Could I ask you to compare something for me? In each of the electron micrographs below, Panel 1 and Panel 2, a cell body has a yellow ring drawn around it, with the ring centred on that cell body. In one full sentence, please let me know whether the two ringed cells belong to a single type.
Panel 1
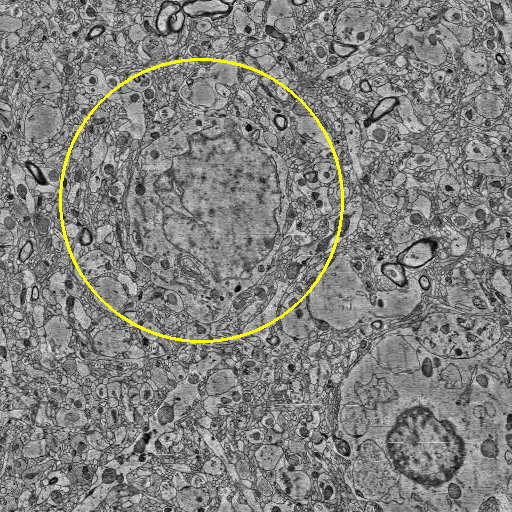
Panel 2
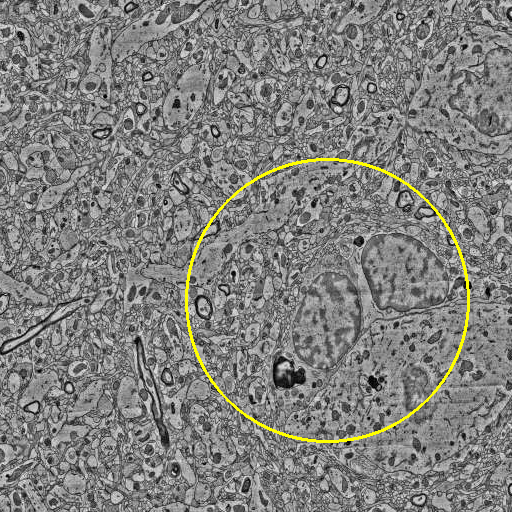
No, the two cells at the centres of the rings are of two types.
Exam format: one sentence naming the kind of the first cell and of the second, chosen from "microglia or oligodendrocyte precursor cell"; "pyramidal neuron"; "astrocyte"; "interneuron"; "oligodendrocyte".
The first picture's cell is an interneuron, and the second picture's cell is an oligodendrocyte.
